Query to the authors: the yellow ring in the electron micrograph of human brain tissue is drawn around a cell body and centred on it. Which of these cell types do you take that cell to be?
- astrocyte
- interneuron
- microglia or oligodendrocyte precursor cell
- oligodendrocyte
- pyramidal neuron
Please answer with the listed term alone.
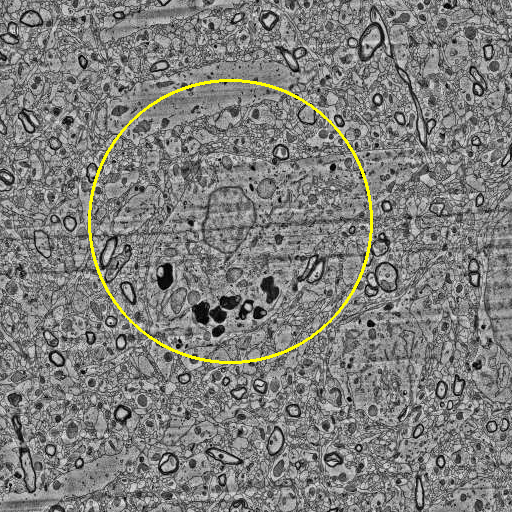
pyramidal neuron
